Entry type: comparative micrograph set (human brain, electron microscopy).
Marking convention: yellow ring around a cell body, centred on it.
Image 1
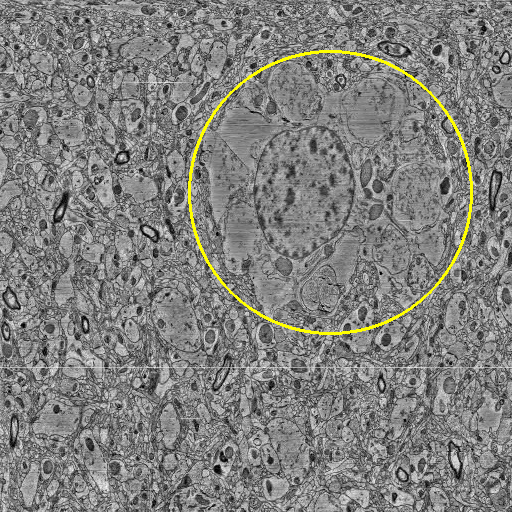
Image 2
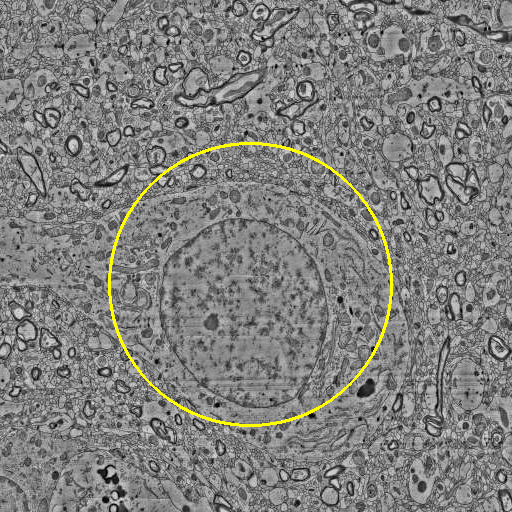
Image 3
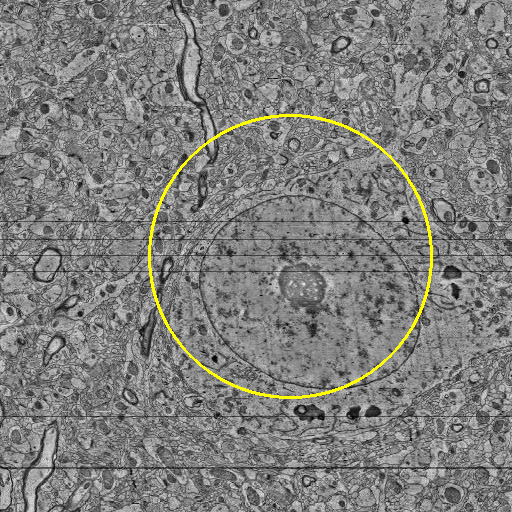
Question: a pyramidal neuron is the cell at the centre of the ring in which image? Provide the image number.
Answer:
3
